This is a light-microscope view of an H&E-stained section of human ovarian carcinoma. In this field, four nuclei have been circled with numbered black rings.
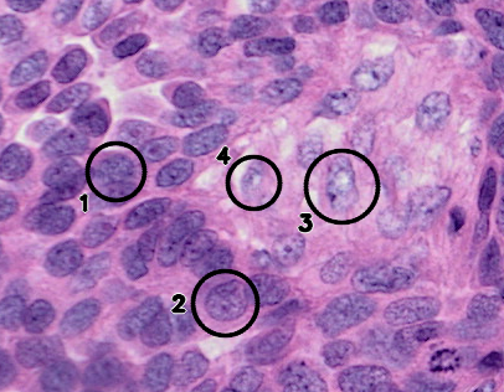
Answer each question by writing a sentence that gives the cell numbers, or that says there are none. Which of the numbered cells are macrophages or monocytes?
The group of numbered cells contains no macrophages or monocytes.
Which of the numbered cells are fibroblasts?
The cells that have numbers 3 and 4 are fibroblasts.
